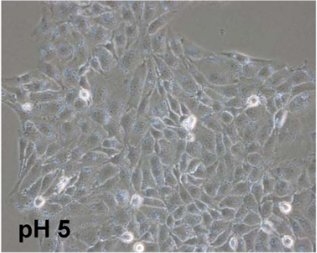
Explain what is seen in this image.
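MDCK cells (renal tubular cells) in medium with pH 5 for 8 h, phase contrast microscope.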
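Many cells are stretched out into elongated, spindle-like or irregular shapes with thin extensions. A few cells are rounded and strongly refractile, standing out as bright bodies against the flattened cells.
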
